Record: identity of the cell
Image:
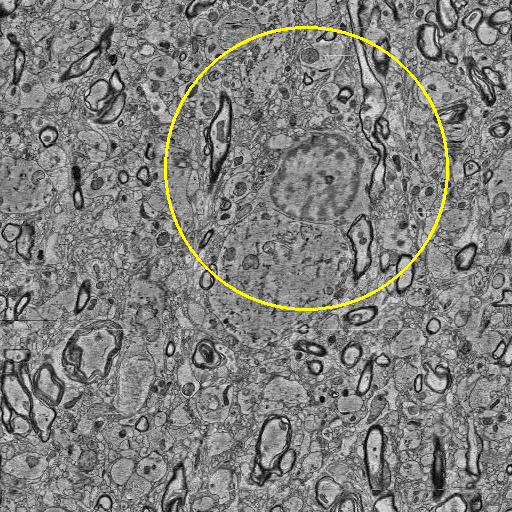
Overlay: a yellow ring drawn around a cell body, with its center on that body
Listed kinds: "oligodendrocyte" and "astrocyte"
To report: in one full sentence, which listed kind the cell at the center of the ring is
In the image, the cell body at the ring's center belongs to an oligodendrocyte.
